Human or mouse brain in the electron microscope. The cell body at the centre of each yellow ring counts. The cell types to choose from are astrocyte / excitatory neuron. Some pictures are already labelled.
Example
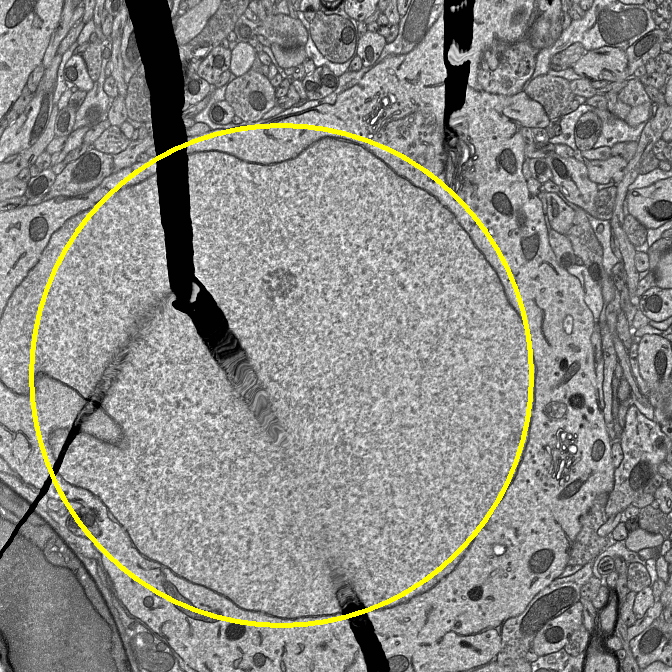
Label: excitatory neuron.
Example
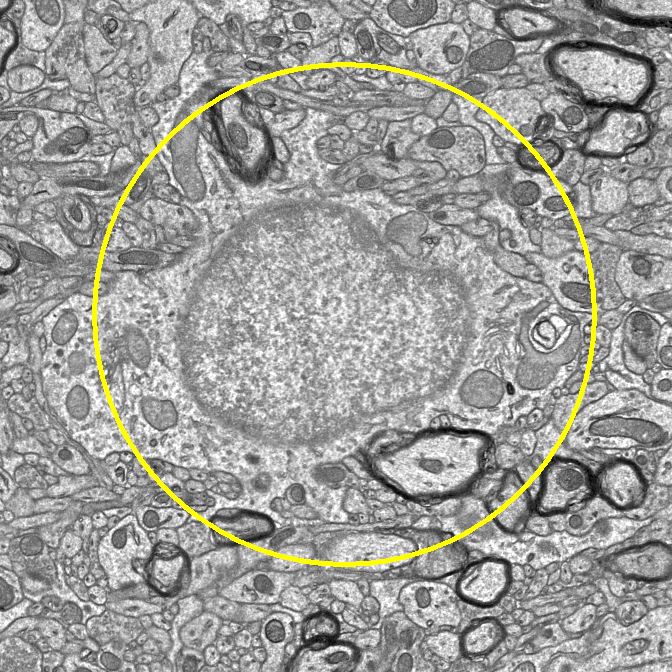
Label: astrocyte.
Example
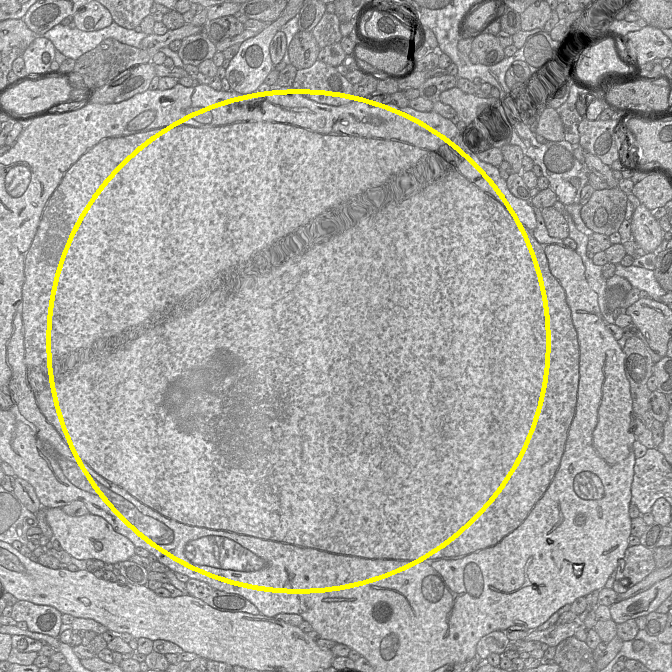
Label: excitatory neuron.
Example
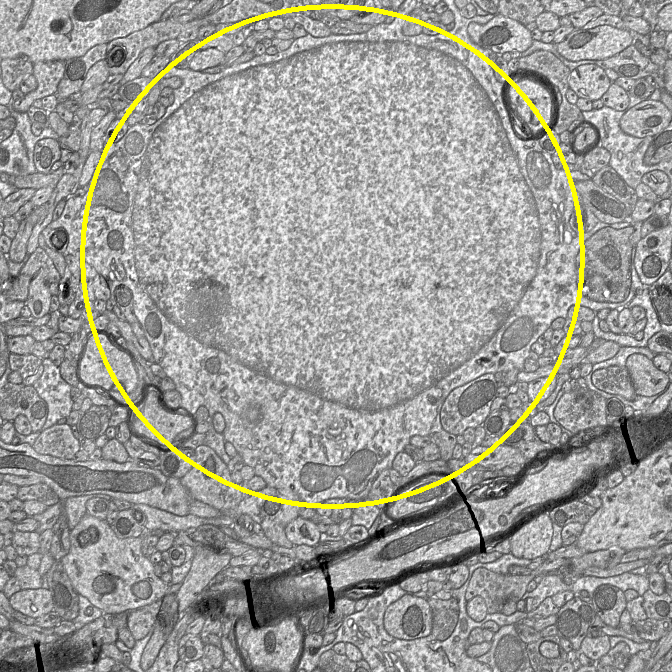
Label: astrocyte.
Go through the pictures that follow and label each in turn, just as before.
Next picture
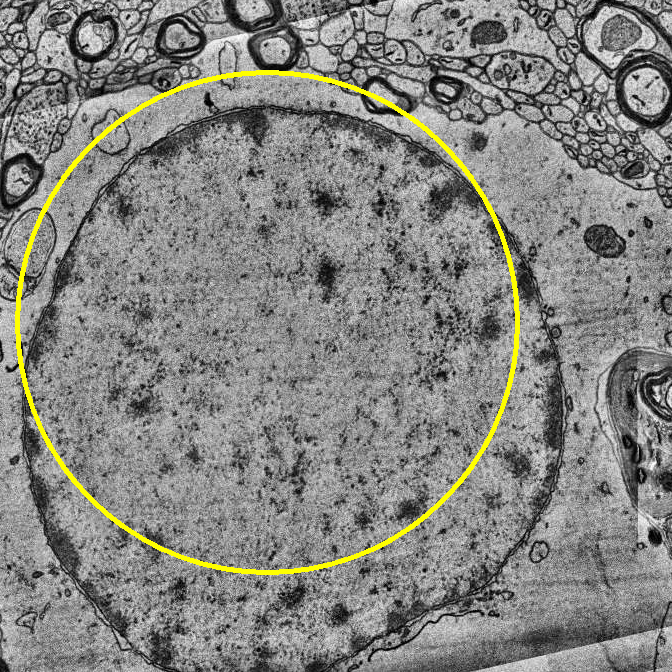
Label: astrocyte.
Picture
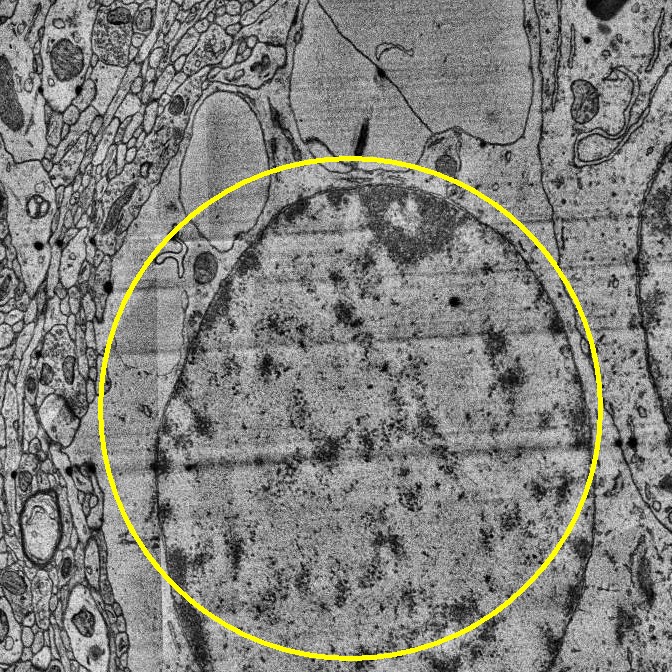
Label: astrocyte.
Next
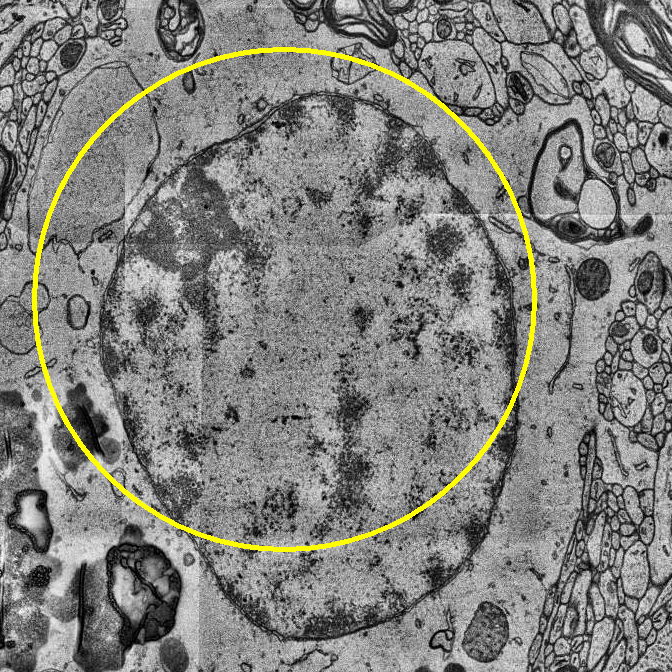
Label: astrocyte.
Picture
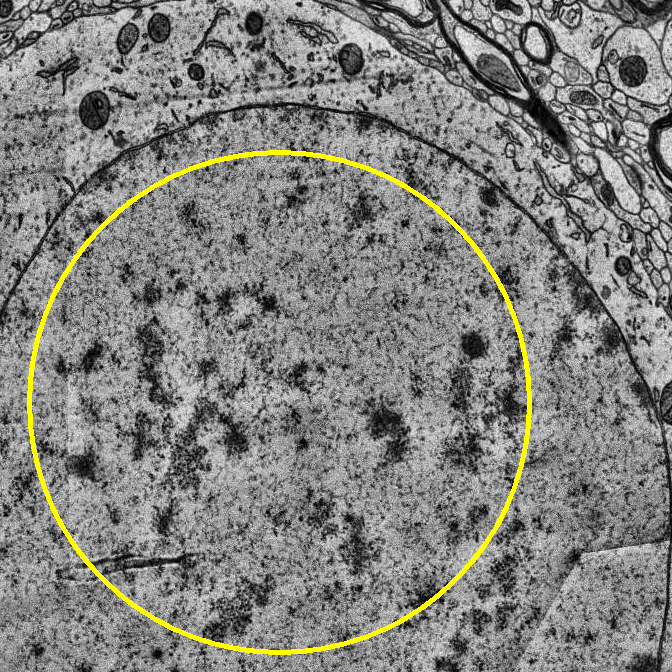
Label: excitatory neuron.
